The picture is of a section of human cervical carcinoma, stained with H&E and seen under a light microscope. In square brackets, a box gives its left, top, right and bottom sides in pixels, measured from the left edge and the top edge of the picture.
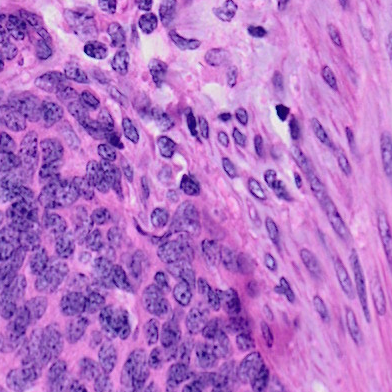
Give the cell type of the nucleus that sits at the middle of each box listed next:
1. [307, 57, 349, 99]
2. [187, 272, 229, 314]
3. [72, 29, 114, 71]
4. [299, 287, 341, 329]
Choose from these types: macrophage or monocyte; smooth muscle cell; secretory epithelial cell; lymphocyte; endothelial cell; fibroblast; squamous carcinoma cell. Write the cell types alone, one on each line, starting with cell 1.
smooth muscle cell
squamous carcinoma cell
lymphocyte
smooth muscle cell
